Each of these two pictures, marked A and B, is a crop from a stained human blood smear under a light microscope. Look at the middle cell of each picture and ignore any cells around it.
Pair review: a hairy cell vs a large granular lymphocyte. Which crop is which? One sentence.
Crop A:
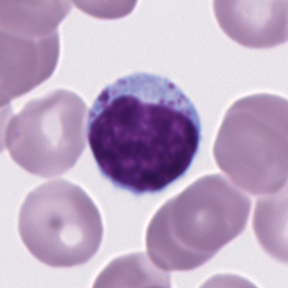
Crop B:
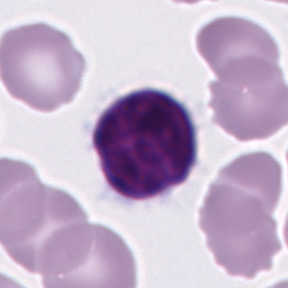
Represented in crop A is a large granular lymphocyte; represented in crop B is a hairy cell.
